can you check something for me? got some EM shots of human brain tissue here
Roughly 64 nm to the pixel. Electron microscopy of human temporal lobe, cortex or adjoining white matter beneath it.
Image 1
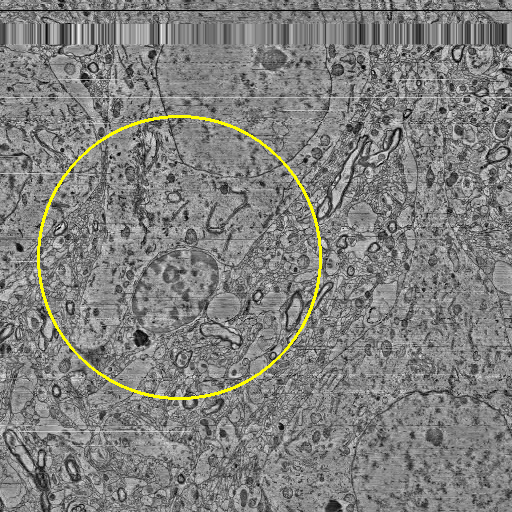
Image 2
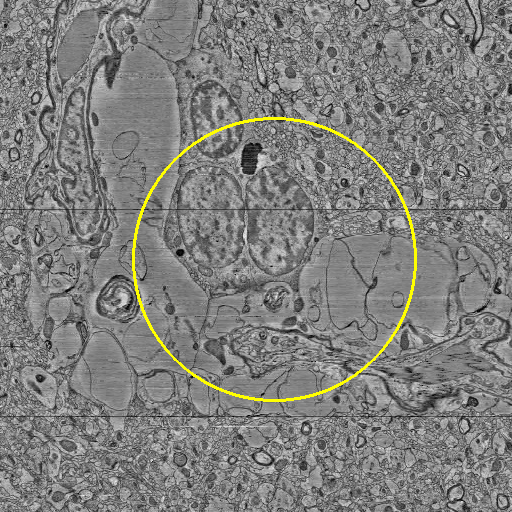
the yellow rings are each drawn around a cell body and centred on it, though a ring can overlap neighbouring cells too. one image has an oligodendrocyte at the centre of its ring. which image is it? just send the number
2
